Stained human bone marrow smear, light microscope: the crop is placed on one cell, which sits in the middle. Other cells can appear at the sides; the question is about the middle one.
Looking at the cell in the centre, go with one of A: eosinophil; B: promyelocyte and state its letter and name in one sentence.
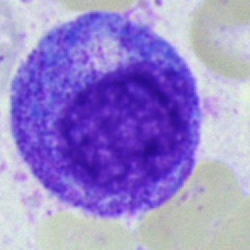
Option B is to be chosen, as the central cell is a promyelocyte.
